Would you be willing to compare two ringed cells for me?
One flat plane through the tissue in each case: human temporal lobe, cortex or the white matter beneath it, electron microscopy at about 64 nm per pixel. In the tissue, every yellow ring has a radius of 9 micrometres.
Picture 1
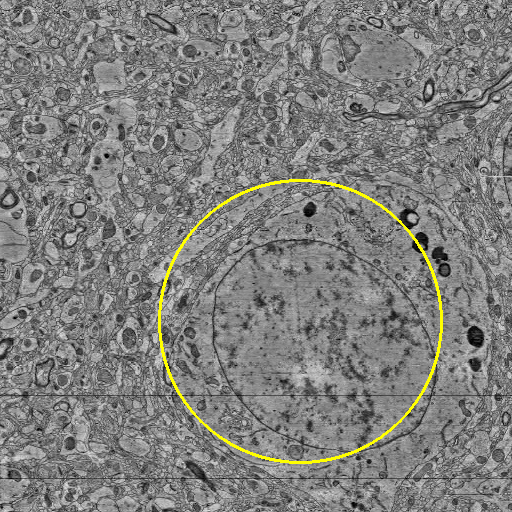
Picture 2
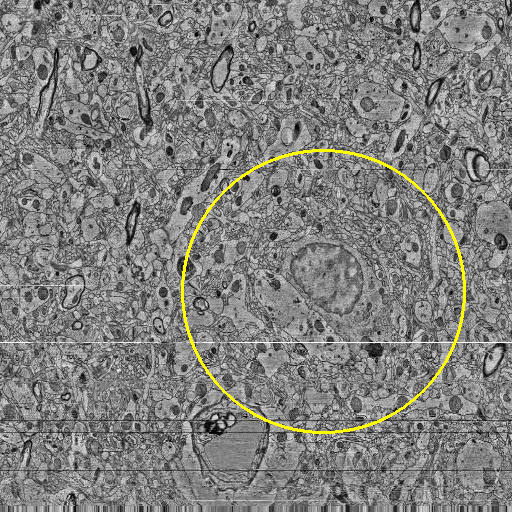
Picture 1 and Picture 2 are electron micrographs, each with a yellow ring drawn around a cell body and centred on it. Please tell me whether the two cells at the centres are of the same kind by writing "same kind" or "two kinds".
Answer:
two kinds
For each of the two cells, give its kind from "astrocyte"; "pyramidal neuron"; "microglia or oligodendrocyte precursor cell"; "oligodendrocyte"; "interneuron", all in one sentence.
The first picture has a pyramidal neuron in its ring, the second has an oligodendrocyte.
